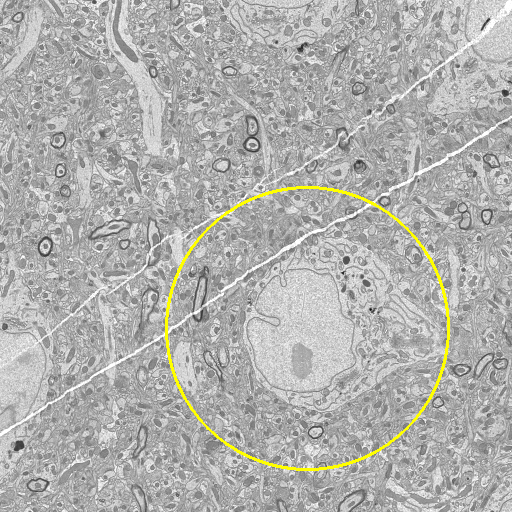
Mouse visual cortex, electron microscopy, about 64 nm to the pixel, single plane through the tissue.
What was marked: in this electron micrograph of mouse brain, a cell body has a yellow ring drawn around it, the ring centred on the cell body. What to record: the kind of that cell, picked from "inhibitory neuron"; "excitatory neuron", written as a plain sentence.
The centred cell is an inhibitory neuron.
